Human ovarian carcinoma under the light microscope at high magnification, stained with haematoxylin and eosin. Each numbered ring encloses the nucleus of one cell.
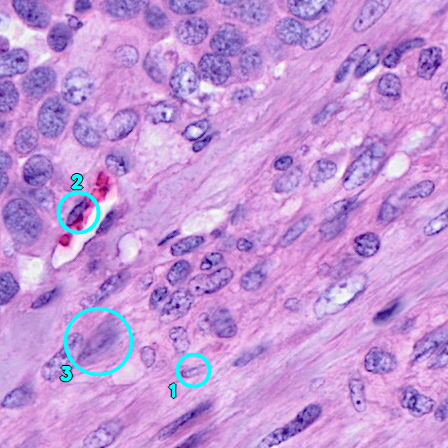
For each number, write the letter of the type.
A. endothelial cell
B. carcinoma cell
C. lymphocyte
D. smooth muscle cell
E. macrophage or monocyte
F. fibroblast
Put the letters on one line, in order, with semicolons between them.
F; A; F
